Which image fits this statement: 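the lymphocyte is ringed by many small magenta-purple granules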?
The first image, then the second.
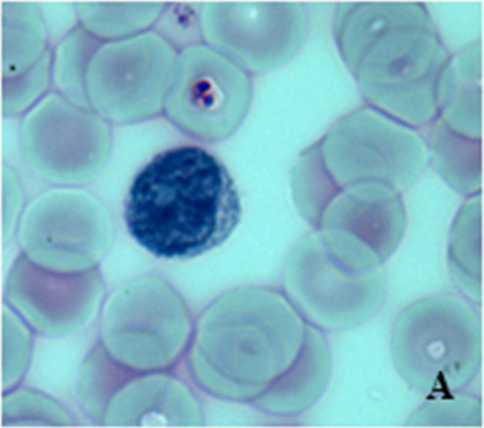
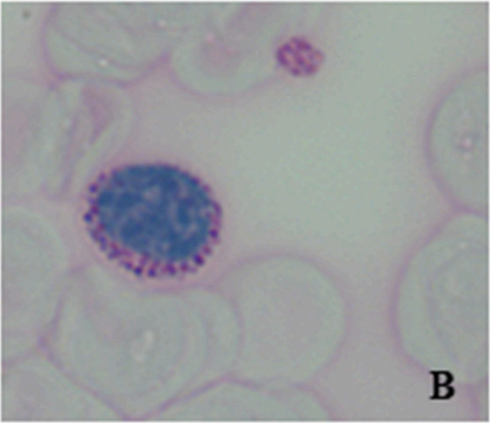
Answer: the second image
